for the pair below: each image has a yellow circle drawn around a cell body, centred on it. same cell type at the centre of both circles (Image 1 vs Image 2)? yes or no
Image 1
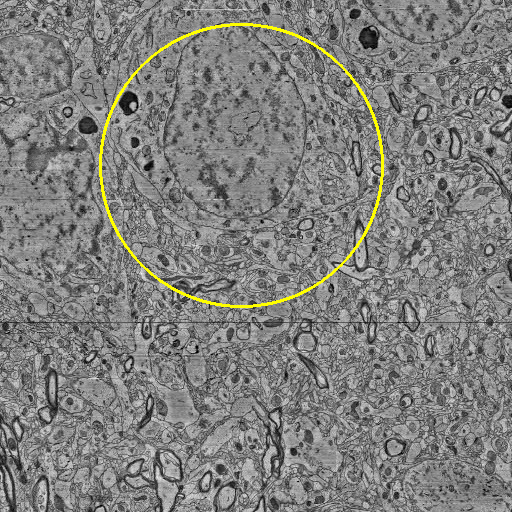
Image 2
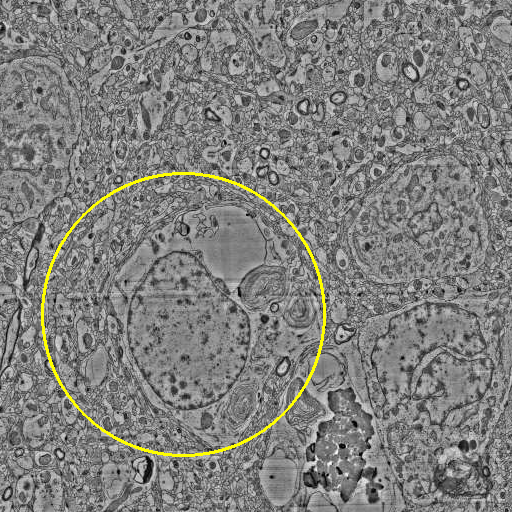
no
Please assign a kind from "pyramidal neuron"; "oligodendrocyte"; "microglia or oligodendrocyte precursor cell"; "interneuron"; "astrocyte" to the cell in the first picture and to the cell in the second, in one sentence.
In the first picture we have a pyramidal neuron, and in the second, an astrocyte.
